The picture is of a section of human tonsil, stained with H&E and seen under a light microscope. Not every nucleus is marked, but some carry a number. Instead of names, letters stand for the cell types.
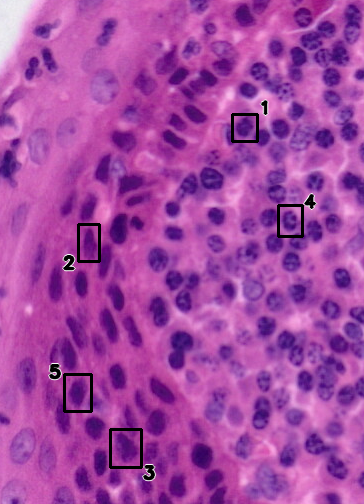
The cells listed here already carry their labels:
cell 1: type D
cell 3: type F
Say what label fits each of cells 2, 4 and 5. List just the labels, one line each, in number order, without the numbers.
type F
type D
type F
